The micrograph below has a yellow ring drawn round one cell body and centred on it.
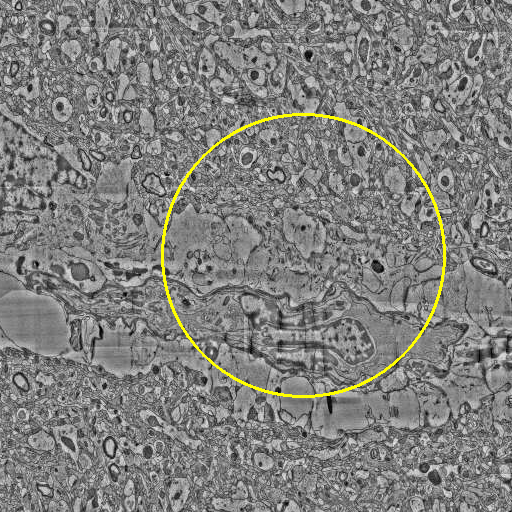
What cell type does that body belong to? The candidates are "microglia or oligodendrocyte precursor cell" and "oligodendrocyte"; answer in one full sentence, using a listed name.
This is a microglial cell or oligodendrocyte precursor cell, the cell whose body lies at the centre of the ring.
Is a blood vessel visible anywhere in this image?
Yes, one shows.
